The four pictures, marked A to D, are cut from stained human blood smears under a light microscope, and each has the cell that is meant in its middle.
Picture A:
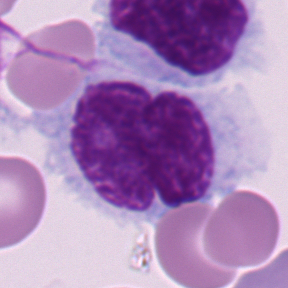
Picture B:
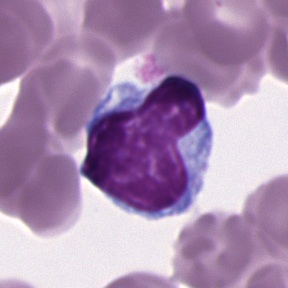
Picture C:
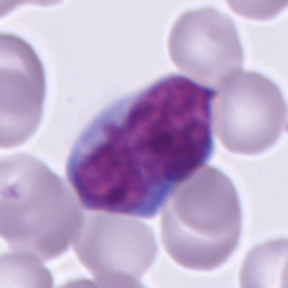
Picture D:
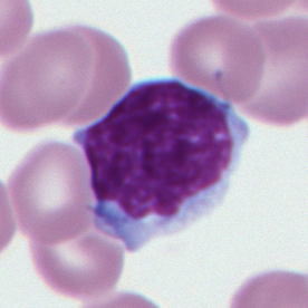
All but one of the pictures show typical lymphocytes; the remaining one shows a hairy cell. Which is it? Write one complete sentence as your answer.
Picture A is the one that shows the hairy cell.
